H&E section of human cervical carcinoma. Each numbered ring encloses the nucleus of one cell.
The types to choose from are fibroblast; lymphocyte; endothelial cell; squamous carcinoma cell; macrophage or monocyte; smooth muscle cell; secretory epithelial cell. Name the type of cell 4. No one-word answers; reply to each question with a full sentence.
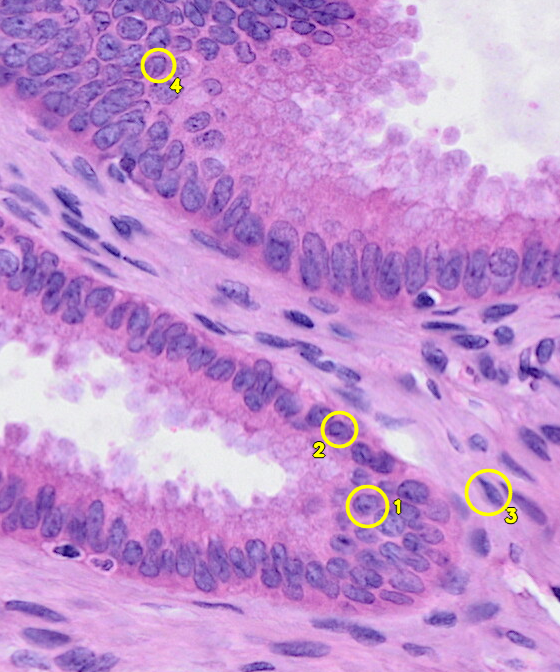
The cell referred to as 4 is a secretory epithelial cell.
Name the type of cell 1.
The cell marked with the number 1 is a secretory epithelial cell.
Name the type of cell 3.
Looking at the numbered marks, cell 3 is a fibroblast.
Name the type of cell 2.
The cell that carries the label 2 is a secretory epithelial cell.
